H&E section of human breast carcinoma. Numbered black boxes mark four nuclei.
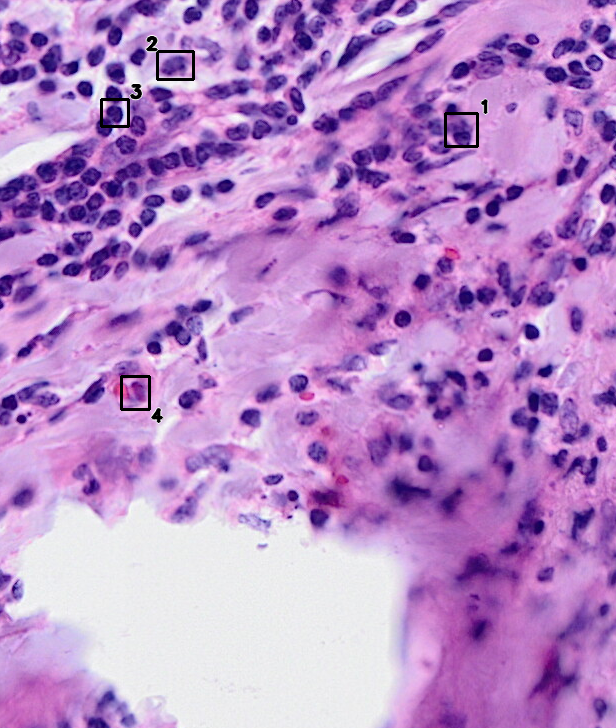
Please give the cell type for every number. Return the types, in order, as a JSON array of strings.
["lymphocyte", "lymphocyte", "lymphocyte", "endothelial cell"]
